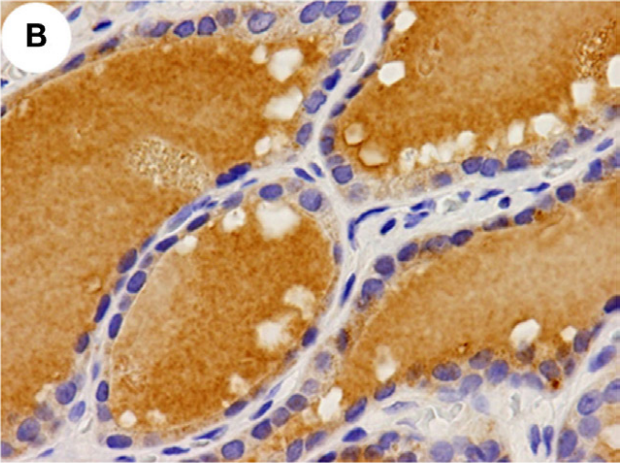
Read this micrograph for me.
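This is thyroid tissue with large follicles filled with brown-staining colloid, lined by a single layer of flattened to cuboidal follicular cells. The follicular cell nuclei are blue, and clear vacuoles dot the edge of the colloid next to the lining cells. Thin stroma with elongated nuclei separates the follicles.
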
